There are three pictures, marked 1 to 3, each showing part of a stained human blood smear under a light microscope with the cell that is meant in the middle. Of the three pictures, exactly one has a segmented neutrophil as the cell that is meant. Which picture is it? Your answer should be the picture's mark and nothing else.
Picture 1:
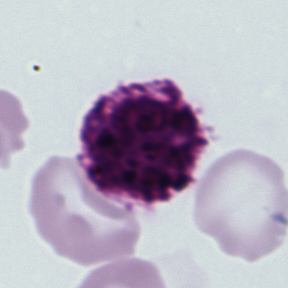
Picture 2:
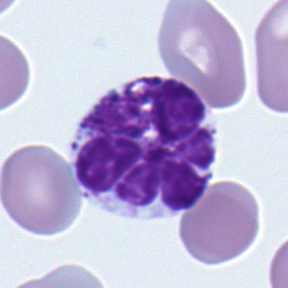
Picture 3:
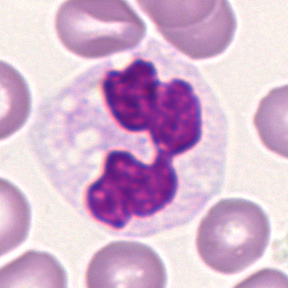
3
